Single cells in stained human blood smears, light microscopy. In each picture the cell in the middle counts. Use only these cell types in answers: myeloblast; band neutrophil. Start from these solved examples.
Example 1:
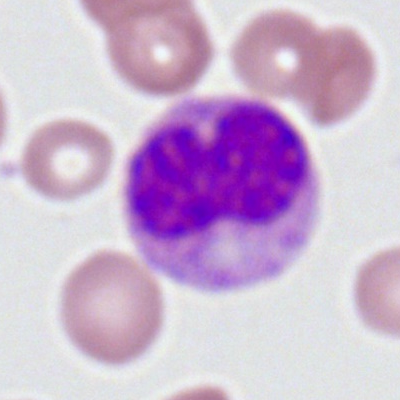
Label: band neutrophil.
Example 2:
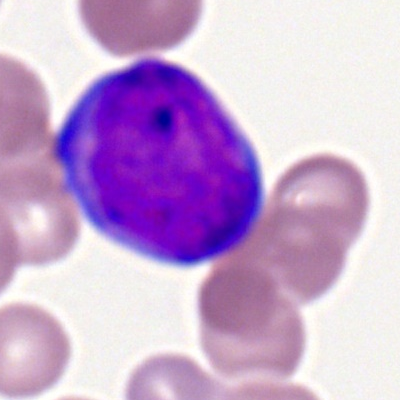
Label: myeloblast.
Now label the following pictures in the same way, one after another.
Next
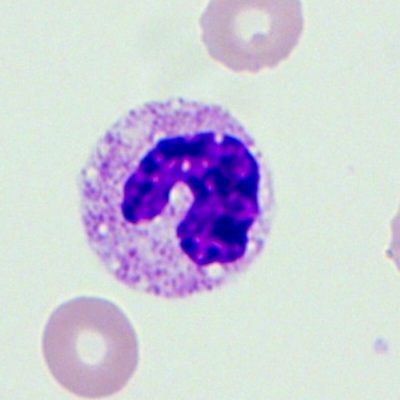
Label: band neutrophil.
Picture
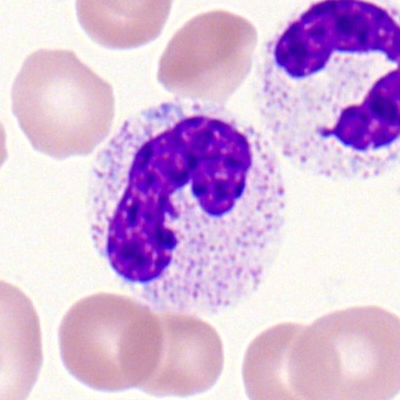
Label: band neutrophil.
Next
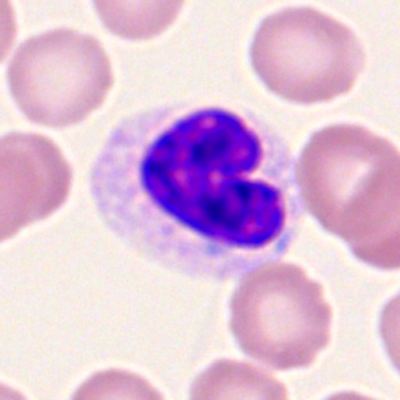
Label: band neutrophil.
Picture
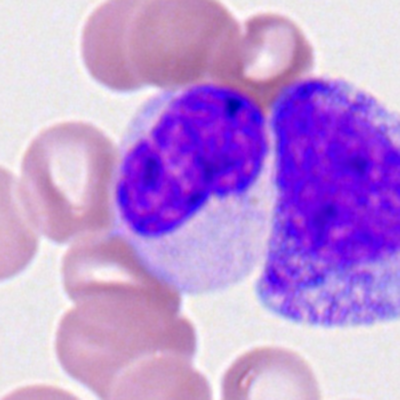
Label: band neutrophil.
